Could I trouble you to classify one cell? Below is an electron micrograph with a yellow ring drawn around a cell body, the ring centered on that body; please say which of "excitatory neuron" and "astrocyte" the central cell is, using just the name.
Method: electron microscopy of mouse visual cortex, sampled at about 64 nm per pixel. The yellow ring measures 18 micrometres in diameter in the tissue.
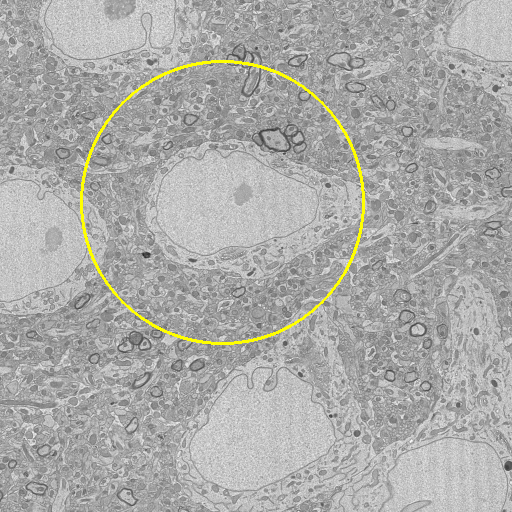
excitatory neuron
